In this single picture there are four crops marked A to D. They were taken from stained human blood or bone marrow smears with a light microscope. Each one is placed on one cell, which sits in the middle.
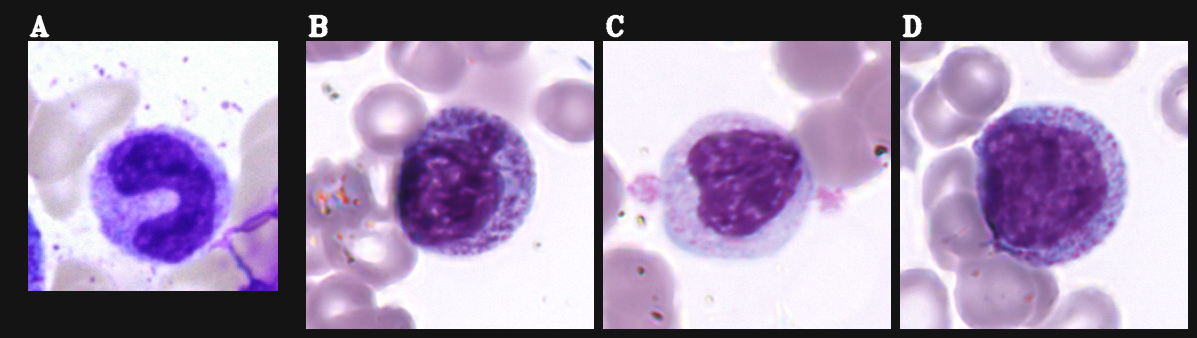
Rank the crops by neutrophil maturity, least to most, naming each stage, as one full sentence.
The proper maturity order, starting from the least mature, is crop D (a promyelocyte), crop B (a myelocyte), crop C (a metamyelocyte) and crop A (a band neutrophil).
